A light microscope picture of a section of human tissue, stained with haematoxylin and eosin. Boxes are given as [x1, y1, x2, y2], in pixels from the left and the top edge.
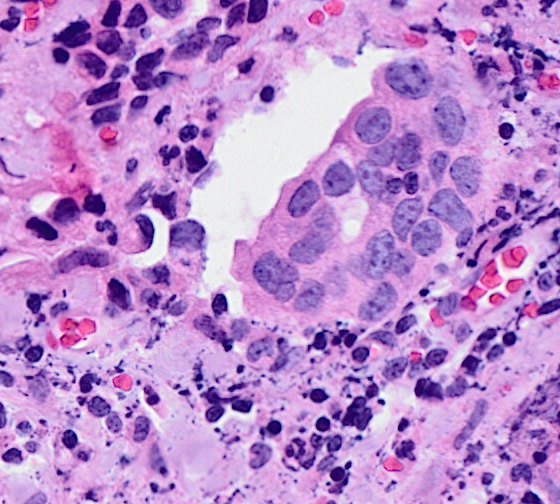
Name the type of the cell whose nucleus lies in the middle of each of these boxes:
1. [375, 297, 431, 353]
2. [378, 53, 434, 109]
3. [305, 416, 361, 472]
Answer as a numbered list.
1. lymphocyte
2. carcinoma cell
3. lymphocyte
